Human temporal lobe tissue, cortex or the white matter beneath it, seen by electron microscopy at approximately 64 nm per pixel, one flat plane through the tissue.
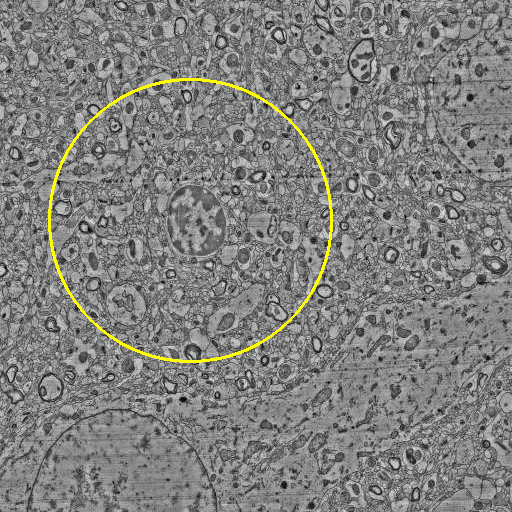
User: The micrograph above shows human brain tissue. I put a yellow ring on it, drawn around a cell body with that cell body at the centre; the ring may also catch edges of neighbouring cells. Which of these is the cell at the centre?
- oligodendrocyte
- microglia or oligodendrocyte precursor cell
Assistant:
microglia or oligodendrocyte precursor cell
